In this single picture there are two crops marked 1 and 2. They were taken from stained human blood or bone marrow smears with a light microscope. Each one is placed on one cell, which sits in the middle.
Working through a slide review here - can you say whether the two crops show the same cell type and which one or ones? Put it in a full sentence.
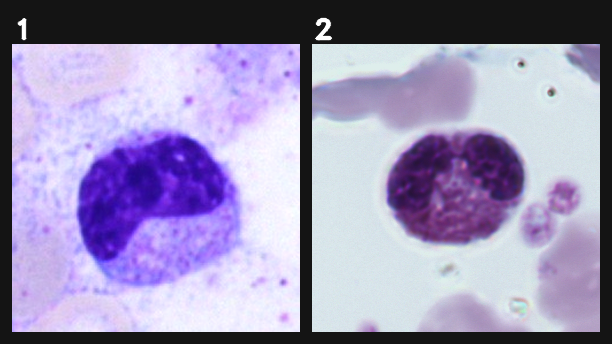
No, crop 1 shows a metamyelocyte, and it is crop 2 that shows an eosinophil.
